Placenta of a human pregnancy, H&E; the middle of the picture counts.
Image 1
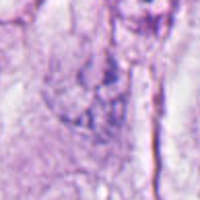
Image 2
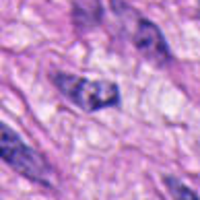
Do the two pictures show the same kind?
No: a maternal decidual cell, then a vascular myocyte.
